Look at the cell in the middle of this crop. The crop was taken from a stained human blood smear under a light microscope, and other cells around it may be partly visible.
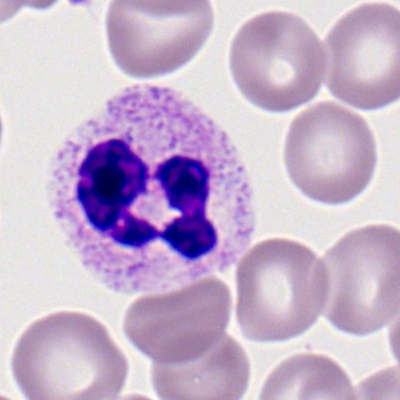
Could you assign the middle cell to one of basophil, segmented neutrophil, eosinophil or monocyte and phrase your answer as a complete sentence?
In this crop, the cell at the very middle is a segmented neutrophil.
